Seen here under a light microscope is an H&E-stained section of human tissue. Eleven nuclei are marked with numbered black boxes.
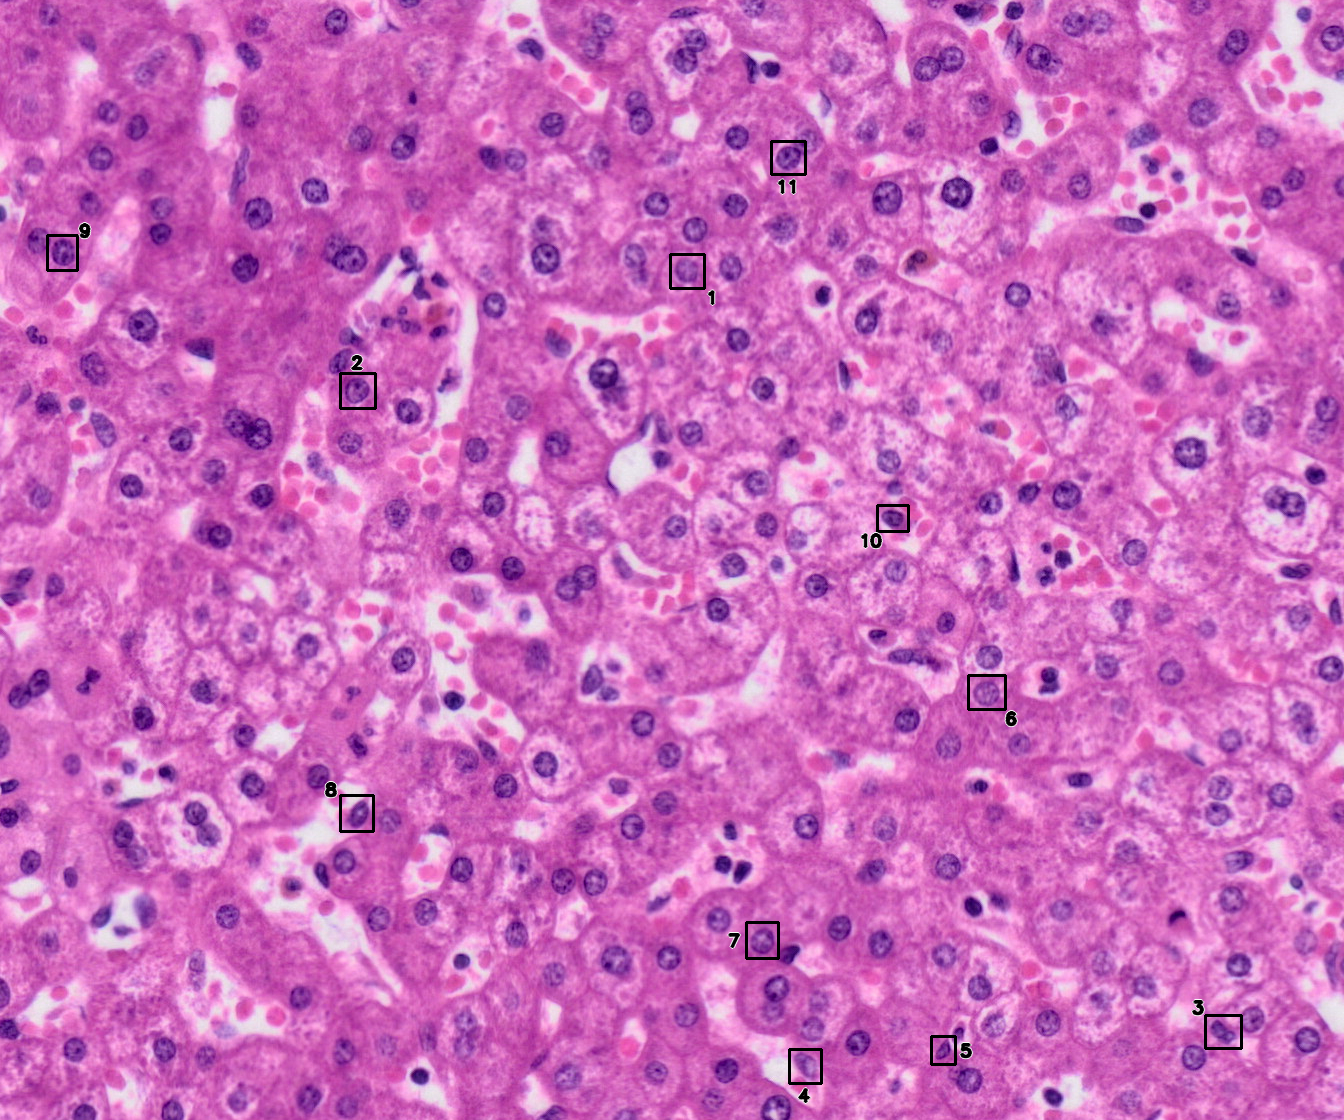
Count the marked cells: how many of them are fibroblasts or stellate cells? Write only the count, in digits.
2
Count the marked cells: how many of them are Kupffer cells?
3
